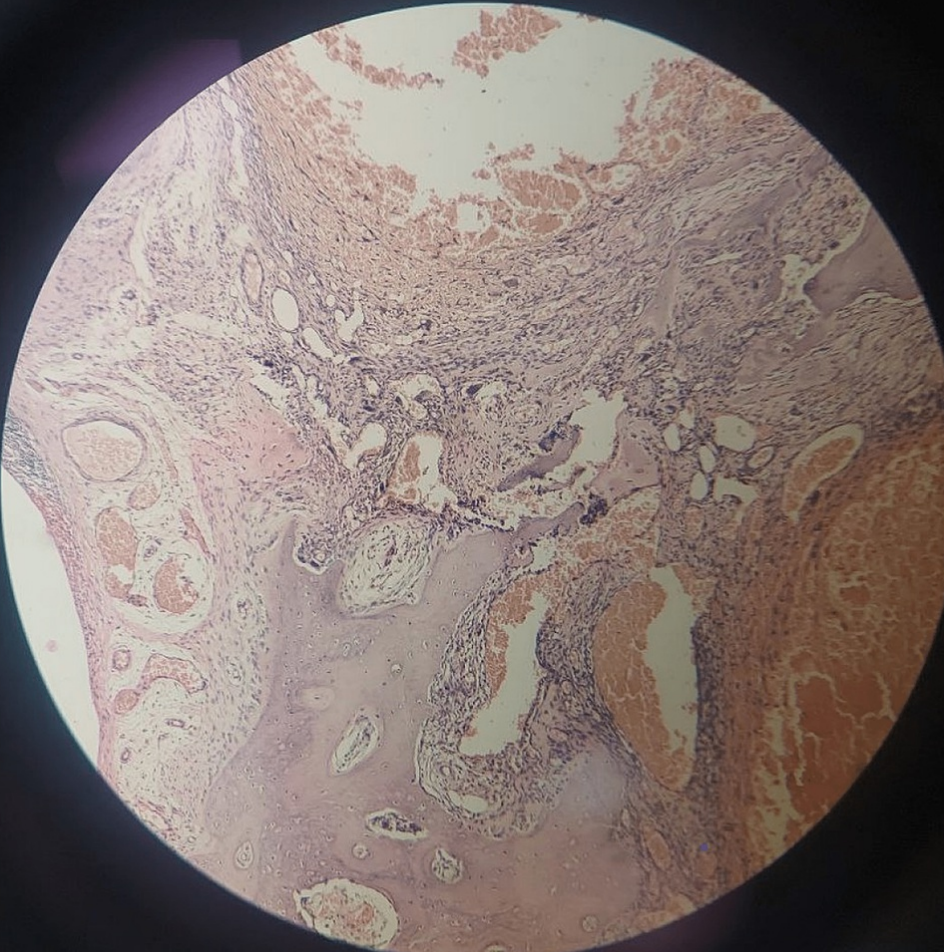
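At low power this is the wall of a cyst. Several large spaces are filled with red-orange blood cells, and some are partly empty and white. Around these spaces runs a loose fibrous stroma of spindle-shaped cells with elongated dark nuclei, with small dark inflammatory cells scattered among them. In the lower centre lies a pale pink-purple matrix of bone, with small cells set in lacunae.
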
